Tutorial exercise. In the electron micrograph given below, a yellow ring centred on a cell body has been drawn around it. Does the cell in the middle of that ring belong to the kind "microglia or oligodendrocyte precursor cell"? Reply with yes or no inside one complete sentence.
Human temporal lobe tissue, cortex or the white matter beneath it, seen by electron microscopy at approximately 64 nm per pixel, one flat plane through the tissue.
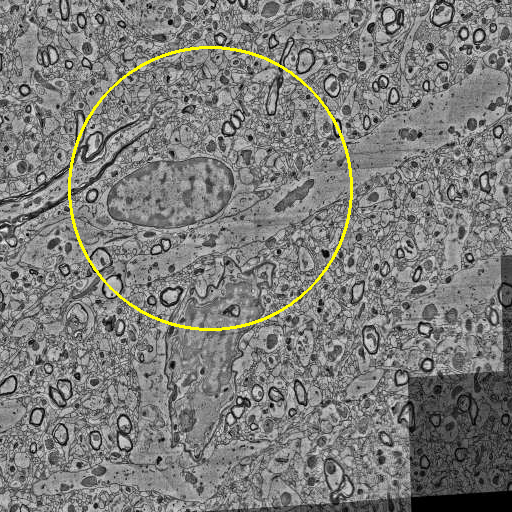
Yes, the cell at the centre of the ring in the picture is of that kind.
